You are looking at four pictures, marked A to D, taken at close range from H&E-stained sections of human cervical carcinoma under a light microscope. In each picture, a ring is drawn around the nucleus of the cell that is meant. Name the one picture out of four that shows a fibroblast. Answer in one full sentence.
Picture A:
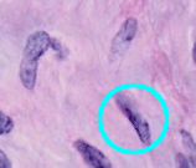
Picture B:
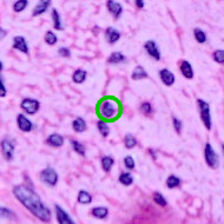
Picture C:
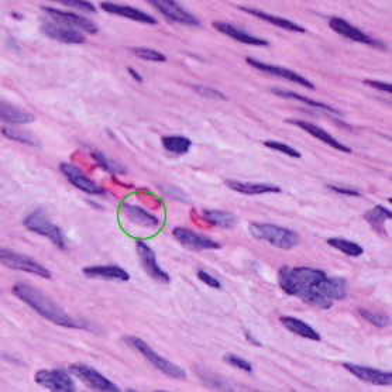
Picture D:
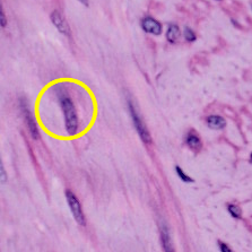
The fibroblast is the one in picture A.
